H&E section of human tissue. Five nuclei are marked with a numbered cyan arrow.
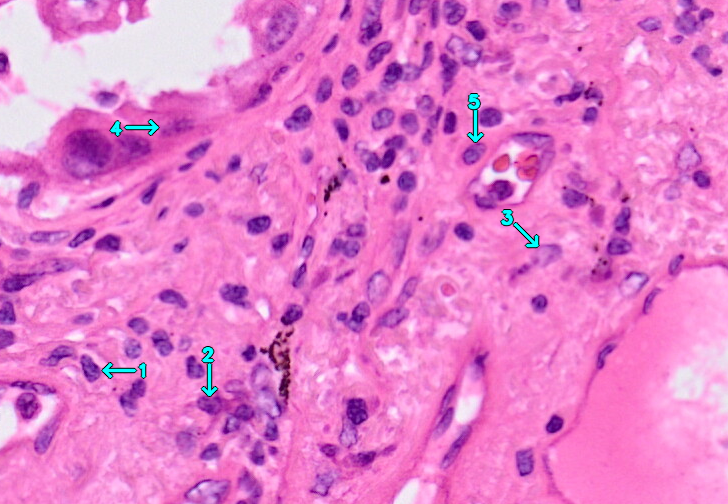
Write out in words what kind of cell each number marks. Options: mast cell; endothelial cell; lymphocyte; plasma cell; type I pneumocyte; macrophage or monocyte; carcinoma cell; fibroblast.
Cell 1 is a lymphocyte. Cell 2 is a plasma cell. Cell 3 is a fibroblast. Cell 4 is a carcinoma cell. Cell 5 is a mast cell.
